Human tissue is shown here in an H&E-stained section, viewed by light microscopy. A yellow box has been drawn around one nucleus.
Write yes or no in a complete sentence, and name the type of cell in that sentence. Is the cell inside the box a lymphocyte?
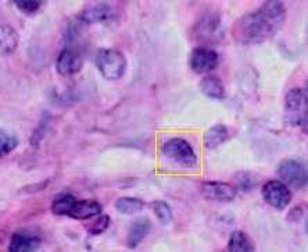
Yes, the cell inside the box is identified as a lymphocyte in this section.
